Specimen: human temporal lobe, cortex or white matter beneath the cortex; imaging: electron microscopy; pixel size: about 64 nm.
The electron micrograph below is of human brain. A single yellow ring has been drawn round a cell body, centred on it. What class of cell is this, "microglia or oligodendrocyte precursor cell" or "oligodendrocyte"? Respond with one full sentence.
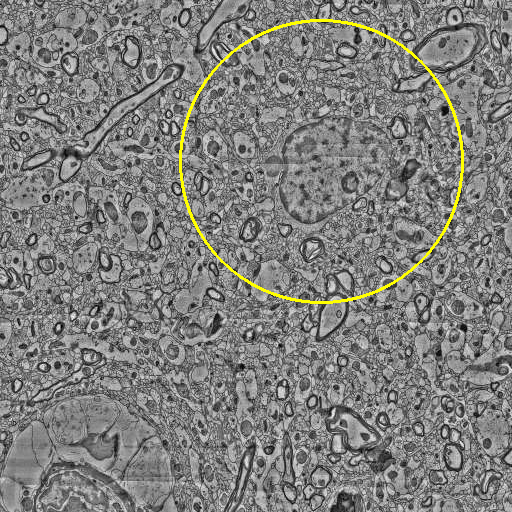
In the micrograph, the cell centred inside the yellow ring is an oligodendrocyte.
